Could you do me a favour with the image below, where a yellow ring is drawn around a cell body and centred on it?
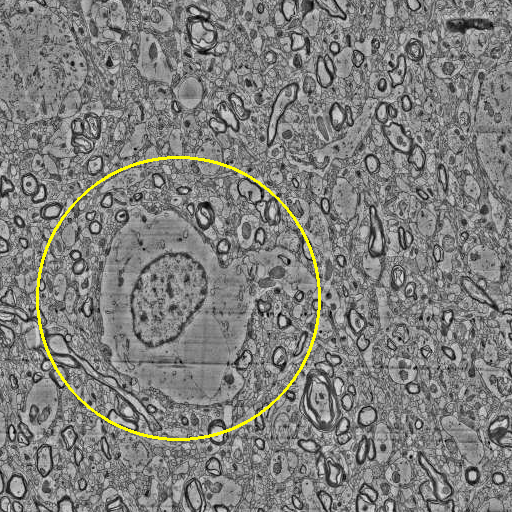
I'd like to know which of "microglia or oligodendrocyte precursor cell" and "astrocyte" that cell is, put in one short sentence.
The cell at the ring's centre is an astrocyte.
